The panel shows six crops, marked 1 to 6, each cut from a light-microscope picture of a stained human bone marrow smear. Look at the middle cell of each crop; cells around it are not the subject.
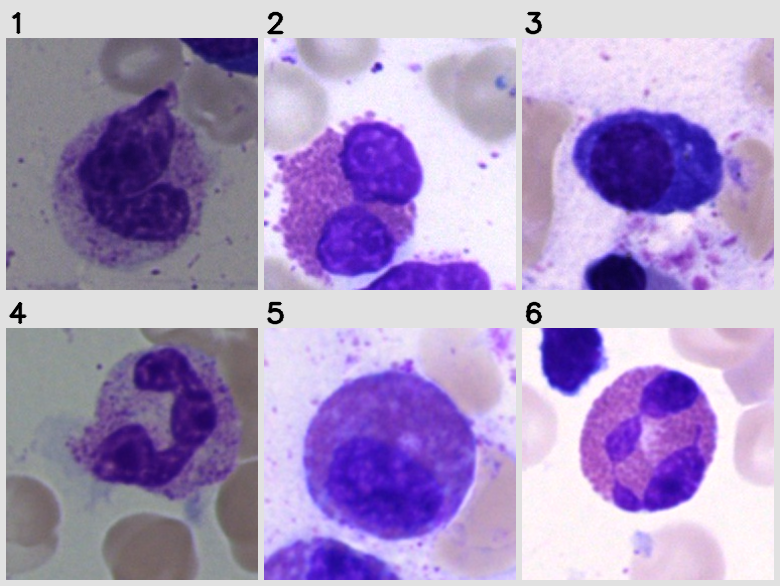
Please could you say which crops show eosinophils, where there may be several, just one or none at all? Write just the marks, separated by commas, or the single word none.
2, 5, 6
